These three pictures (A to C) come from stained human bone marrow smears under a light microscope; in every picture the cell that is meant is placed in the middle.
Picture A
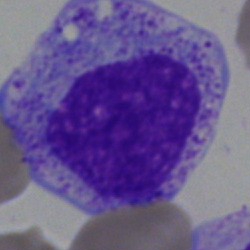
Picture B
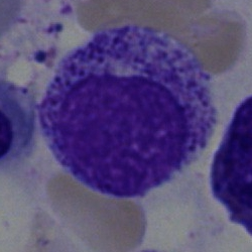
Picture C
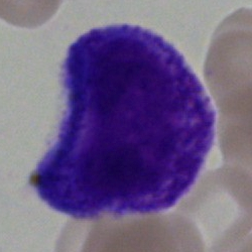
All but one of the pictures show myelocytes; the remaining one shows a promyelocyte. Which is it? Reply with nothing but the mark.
C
